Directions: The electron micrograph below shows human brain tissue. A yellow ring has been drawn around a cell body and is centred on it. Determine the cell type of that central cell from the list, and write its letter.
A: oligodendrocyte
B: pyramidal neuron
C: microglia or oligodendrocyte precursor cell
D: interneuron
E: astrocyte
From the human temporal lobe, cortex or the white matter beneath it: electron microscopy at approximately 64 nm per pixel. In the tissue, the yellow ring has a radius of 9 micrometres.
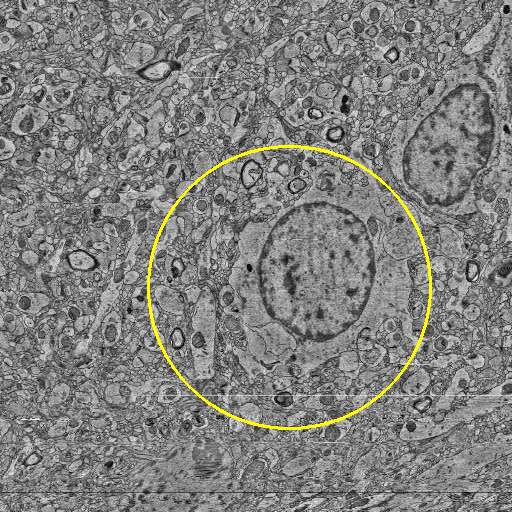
E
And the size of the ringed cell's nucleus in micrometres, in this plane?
In this plane the nucleus is about 9 micrometres by 7.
